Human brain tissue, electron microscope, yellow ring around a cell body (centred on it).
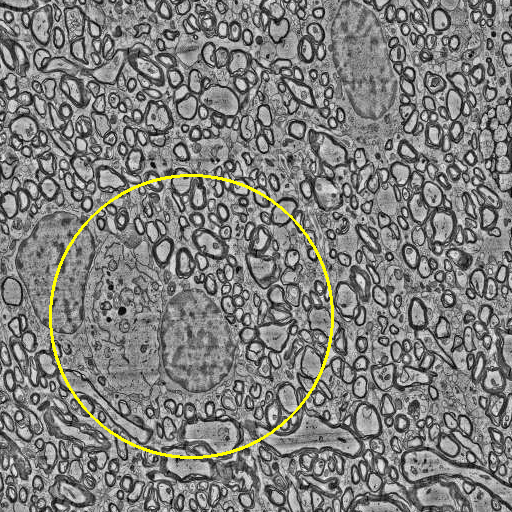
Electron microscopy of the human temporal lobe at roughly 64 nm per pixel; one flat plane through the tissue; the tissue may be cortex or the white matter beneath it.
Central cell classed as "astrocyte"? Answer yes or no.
no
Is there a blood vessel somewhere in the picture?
No, there is no blood vessel.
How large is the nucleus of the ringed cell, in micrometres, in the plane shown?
Approximately 7 x 5 micrometres in this plane.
